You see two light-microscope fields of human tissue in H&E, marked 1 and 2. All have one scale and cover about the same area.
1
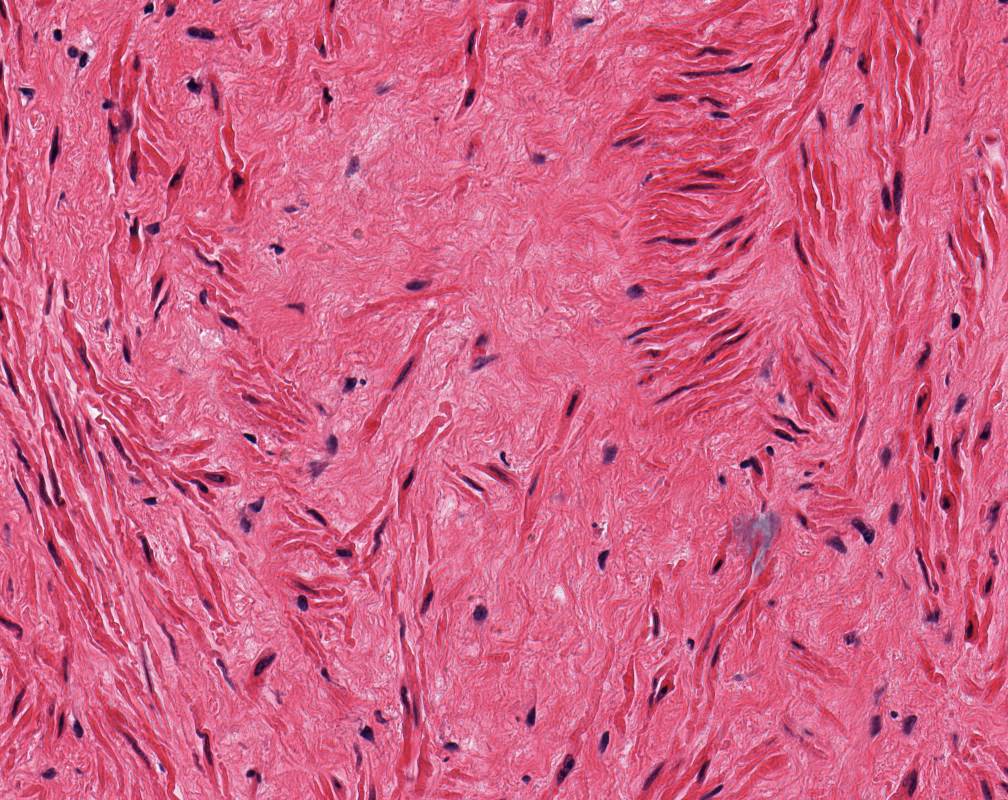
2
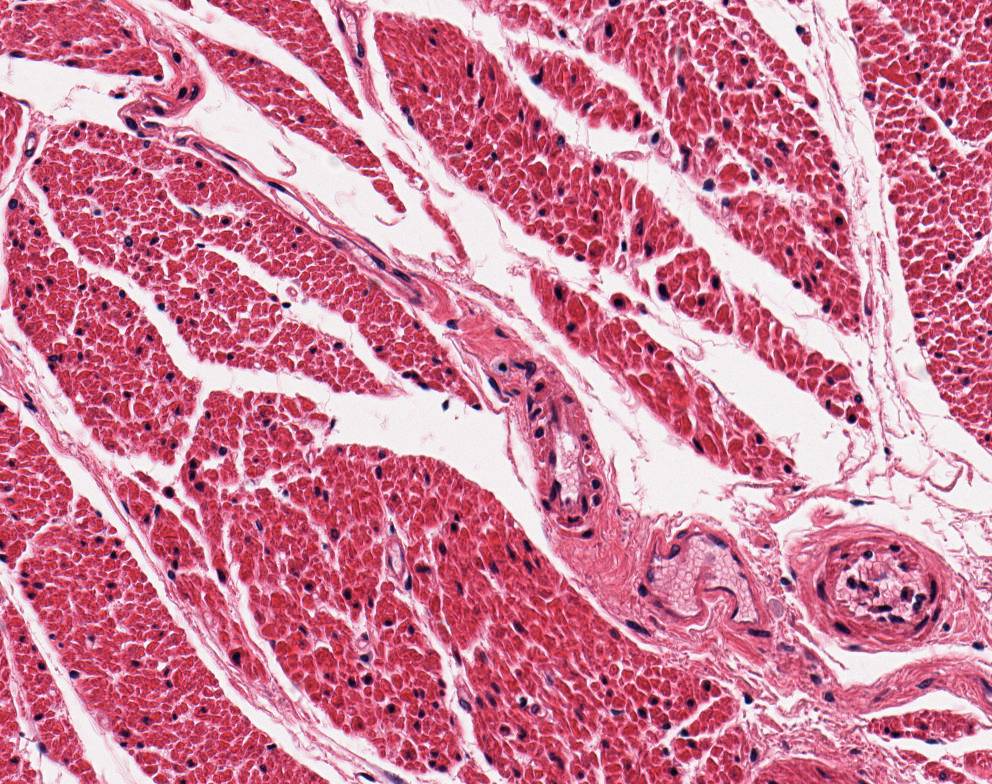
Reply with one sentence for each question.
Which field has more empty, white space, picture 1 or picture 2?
Unstained space takes up more of picture 2 than of picture 1.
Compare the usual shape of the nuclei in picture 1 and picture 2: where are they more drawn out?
It is picture 1 whose nuclei are the more elongated.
